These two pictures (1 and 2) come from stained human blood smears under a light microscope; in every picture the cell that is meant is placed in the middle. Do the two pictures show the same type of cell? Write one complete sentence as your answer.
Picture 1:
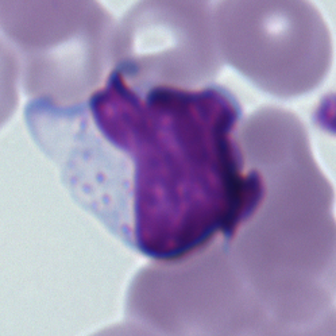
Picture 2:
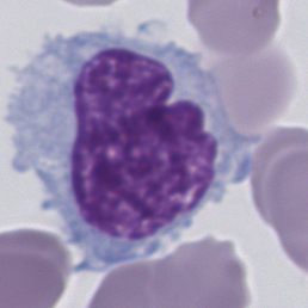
No, picture 1 shows a large granular lymphocyte and picture 2 shows a monocyte.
